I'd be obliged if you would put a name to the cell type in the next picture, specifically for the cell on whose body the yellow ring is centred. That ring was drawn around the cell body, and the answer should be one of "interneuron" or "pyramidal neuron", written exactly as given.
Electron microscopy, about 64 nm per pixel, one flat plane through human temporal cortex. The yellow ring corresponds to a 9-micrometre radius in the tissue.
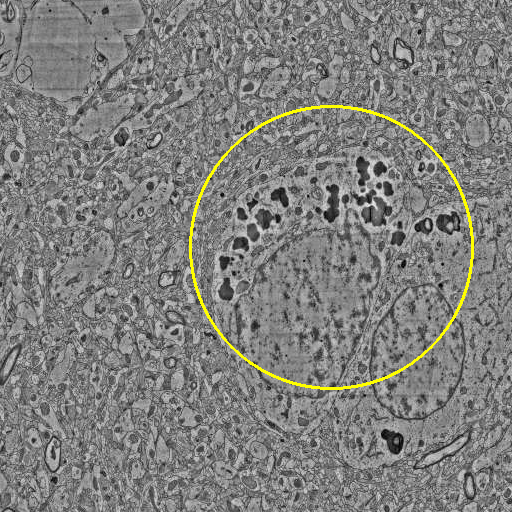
interneuron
